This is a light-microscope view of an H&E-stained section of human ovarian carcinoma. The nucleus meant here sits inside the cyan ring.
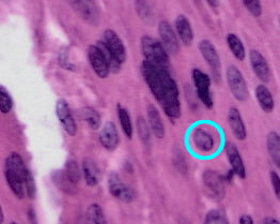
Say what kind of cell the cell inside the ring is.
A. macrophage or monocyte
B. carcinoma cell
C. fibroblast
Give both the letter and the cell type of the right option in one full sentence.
Option A stands as correct, with the cell inside the ring being a macrophage or monocyte.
